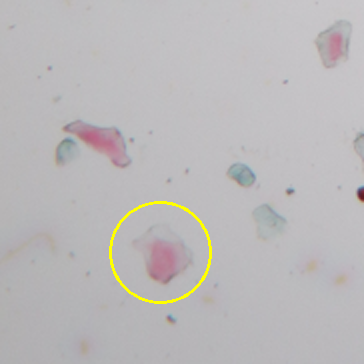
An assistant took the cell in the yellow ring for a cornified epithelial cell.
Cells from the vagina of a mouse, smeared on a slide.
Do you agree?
I agree, it is a cornified epithelial cell.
